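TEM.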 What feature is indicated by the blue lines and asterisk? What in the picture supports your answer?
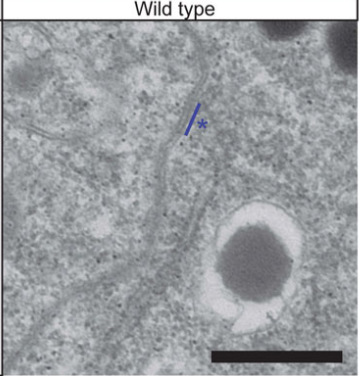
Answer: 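Ladder-like structures. Two closely apposed membranes run through the field.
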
